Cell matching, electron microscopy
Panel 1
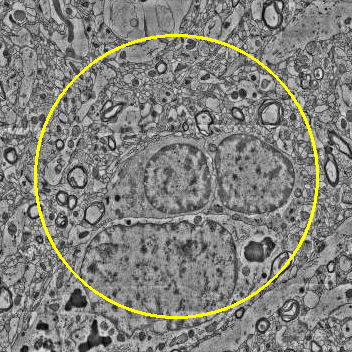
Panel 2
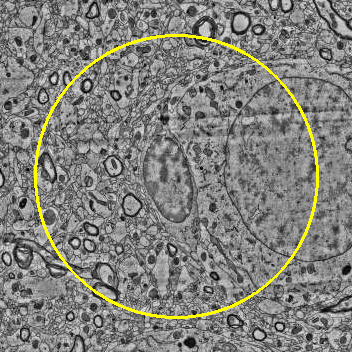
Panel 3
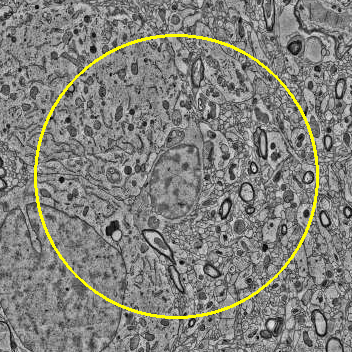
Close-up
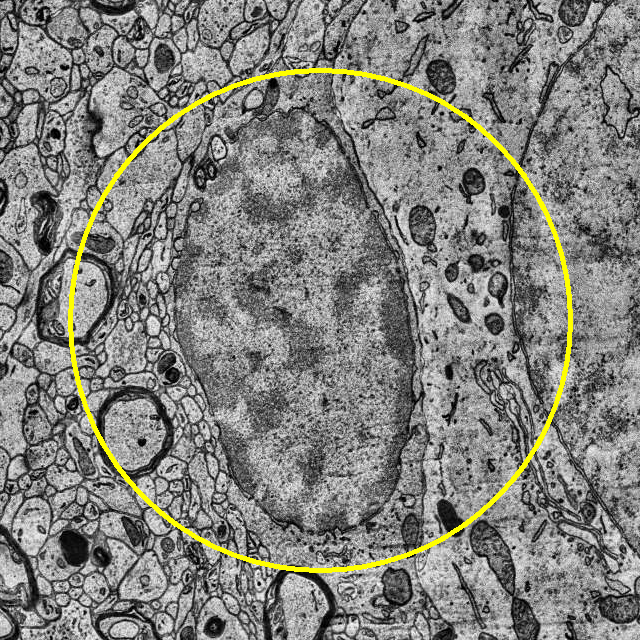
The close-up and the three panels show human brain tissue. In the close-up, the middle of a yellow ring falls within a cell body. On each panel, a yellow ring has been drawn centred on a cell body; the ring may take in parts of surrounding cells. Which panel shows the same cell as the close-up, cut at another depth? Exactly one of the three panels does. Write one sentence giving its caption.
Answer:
The close-up shows a cell, and that cell is ringed in Panel 2.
